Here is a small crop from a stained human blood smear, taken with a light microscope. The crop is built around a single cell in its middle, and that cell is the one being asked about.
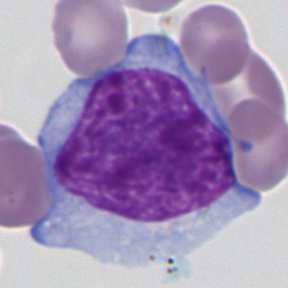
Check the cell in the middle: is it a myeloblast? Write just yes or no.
yes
